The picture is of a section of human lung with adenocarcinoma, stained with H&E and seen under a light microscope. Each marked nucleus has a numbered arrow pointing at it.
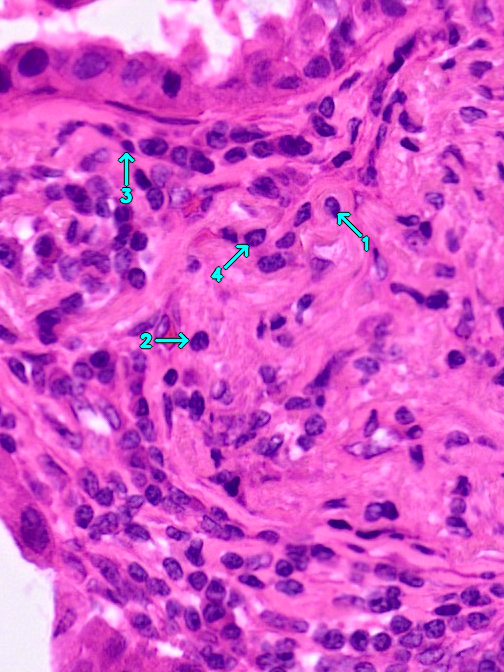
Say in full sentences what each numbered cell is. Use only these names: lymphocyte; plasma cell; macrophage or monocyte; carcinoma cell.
Cells 1, 2 and 3 are lymphocytes. Cell 4 is a plasma cell.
